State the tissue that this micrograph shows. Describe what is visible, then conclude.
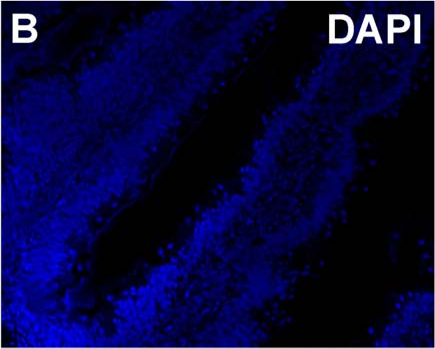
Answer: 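A densely nucleated epithelial layer lines a central dark lumen. The lining is folded into projections facing the lumen.
Hence: intestinal villi.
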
